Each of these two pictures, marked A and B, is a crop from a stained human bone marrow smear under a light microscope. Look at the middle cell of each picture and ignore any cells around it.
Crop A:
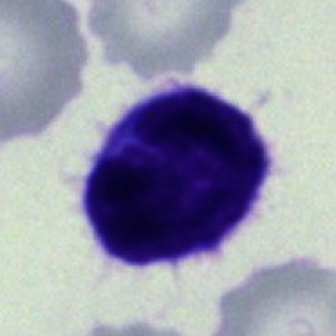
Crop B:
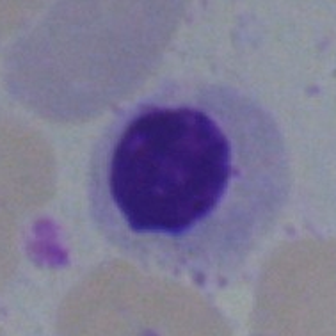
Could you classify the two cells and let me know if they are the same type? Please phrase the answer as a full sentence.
No, crop A is home to a lymphocyte, and crop B to a normoblast.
